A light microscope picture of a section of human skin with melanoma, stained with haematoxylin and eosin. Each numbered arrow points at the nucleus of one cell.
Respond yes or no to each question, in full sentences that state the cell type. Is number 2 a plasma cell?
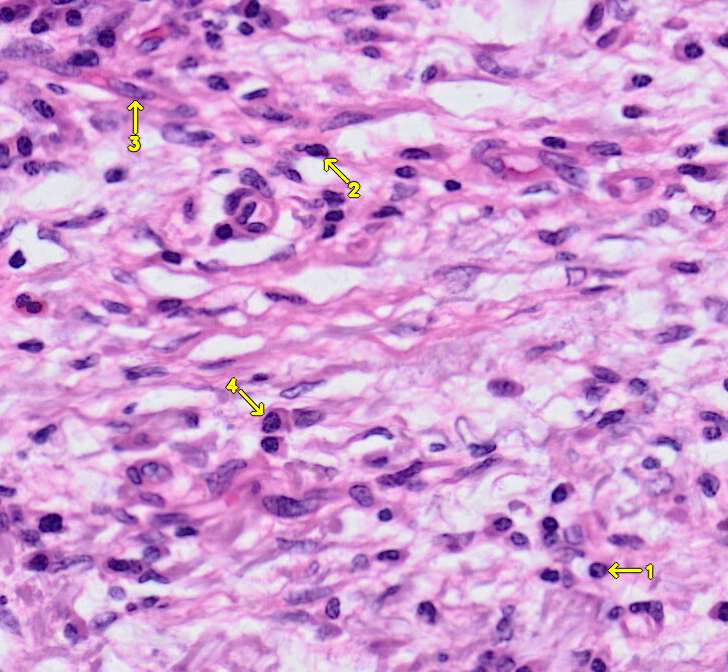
No, a plasma cell is not what cell 2 is; it is a lymphocyte.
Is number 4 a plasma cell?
Yes, the cell identified by number 4 is a plasma cell.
